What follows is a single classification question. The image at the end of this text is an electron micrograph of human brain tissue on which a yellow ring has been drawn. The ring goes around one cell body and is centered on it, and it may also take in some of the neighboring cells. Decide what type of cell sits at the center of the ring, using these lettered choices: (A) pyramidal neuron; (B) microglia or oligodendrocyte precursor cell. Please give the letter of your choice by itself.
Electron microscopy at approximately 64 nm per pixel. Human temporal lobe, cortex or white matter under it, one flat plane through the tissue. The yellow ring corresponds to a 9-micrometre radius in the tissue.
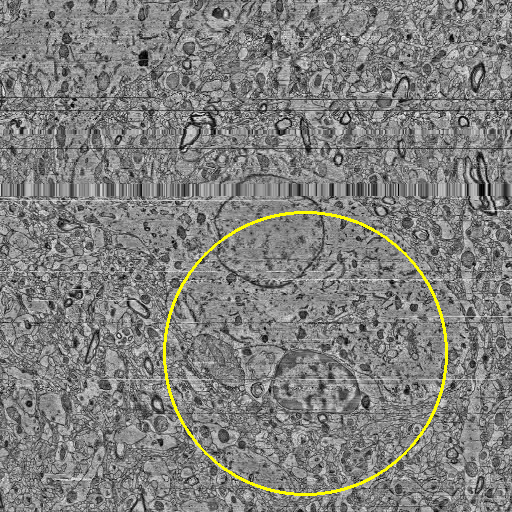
B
